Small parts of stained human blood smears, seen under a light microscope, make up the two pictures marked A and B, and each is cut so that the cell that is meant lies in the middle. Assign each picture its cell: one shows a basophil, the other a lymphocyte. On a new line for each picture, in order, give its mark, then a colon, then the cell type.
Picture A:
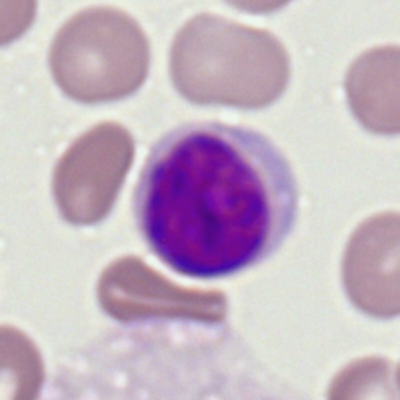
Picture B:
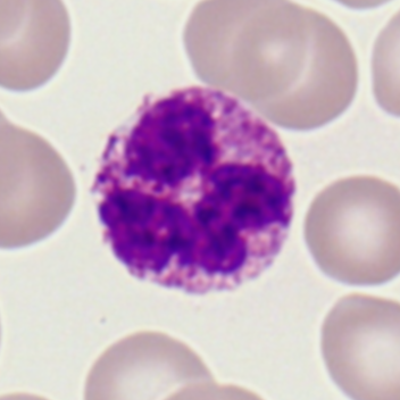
A: lymphocyte
B: basophil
